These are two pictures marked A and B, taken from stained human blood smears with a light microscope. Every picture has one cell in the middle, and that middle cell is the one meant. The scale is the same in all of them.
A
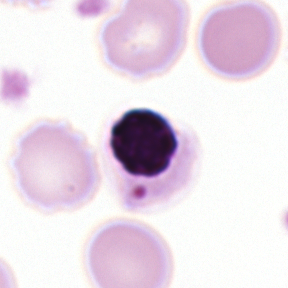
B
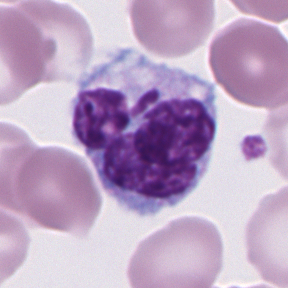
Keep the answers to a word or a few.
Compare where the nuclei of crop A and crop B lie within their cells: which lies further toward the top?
A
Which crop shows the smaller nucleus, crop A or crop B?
A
